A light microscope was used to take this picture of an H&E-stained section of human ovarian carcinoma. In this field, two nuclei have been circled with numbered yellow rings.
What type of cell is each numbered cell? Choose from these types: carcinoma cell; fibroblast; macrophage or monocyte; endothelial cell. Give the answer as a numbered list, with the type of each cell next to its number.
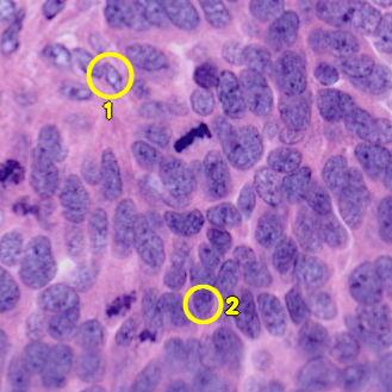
1. fibroblast
2. carcinoma cell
